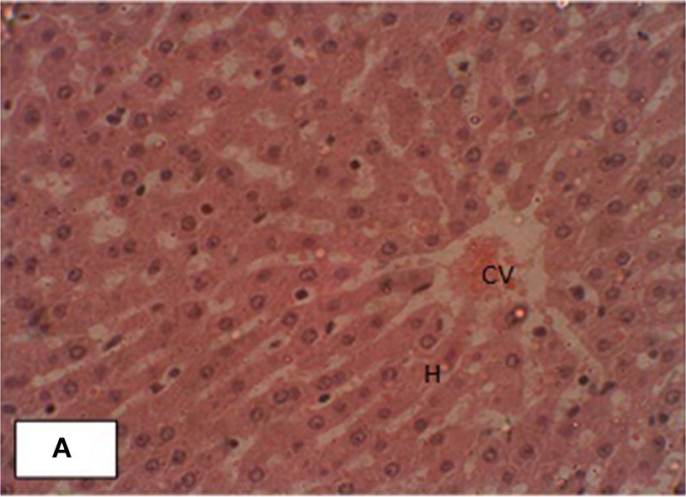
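This section of liver shows hepatocytes arranged in cords that radiate from a central vein. The hepatocytes are polygonal, with pink cytoplasm and round, centrally placed nuclei, some with a visible nucleolus. Narrow, pale sinusoidal spaces run between the cords toward the vein, whose lumen holds a little pink material.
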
